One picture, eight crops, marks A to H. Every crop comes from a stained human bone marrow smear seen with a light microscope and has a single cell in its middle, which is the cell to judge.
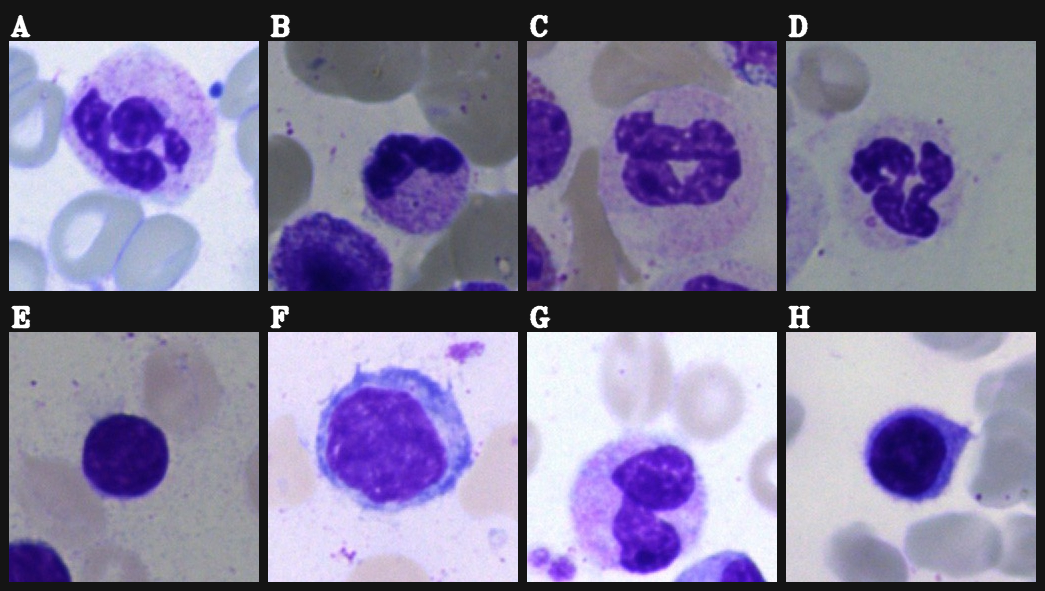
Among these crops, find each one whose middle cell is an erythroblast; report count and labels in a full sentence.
No erythroblasts occur among the crops, so the count is zero.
